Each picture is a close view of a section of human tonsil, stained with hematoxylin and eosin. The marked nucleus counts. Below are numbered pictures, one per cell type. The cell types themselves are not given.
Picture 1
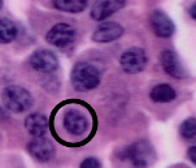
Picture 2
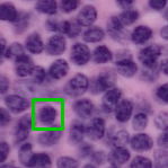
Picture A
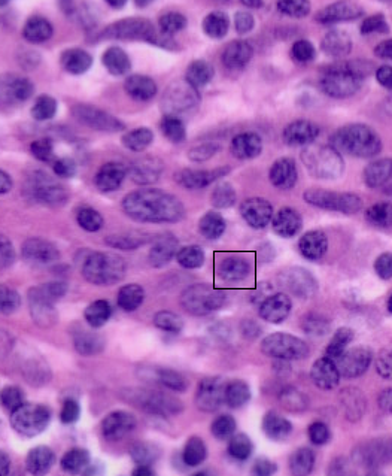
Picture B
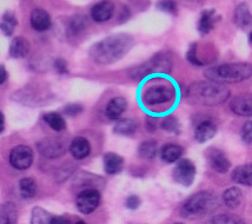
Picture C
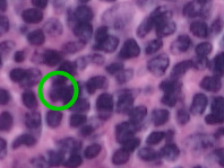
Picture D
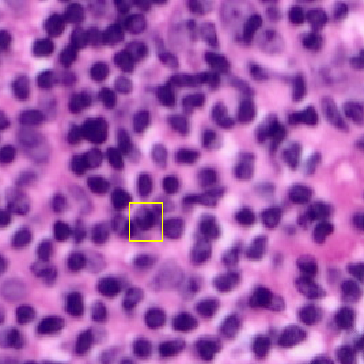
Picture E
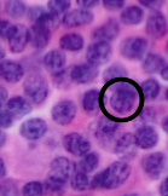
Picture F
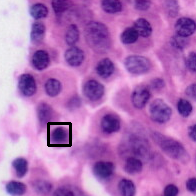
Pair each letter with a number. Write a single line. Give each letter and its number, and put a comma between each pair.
A 1, B 1, C 2, D 2, E 2, F 1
